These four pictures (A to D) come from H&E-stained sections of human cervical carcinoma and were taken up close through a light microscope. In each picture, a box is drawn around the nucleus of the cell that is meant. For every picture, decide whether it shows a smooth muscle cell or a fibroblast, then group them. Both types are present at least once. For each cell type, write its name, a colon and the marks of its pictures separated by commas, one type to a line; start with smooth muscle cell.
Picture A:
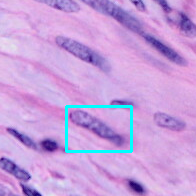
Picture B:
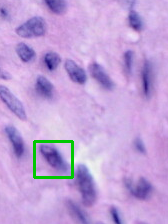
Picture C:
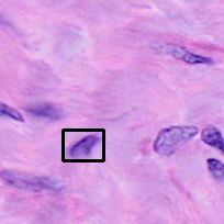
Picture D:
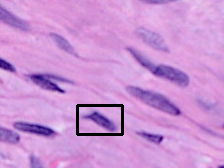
smooth muscle cell: A
fibroblast: B, C, D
